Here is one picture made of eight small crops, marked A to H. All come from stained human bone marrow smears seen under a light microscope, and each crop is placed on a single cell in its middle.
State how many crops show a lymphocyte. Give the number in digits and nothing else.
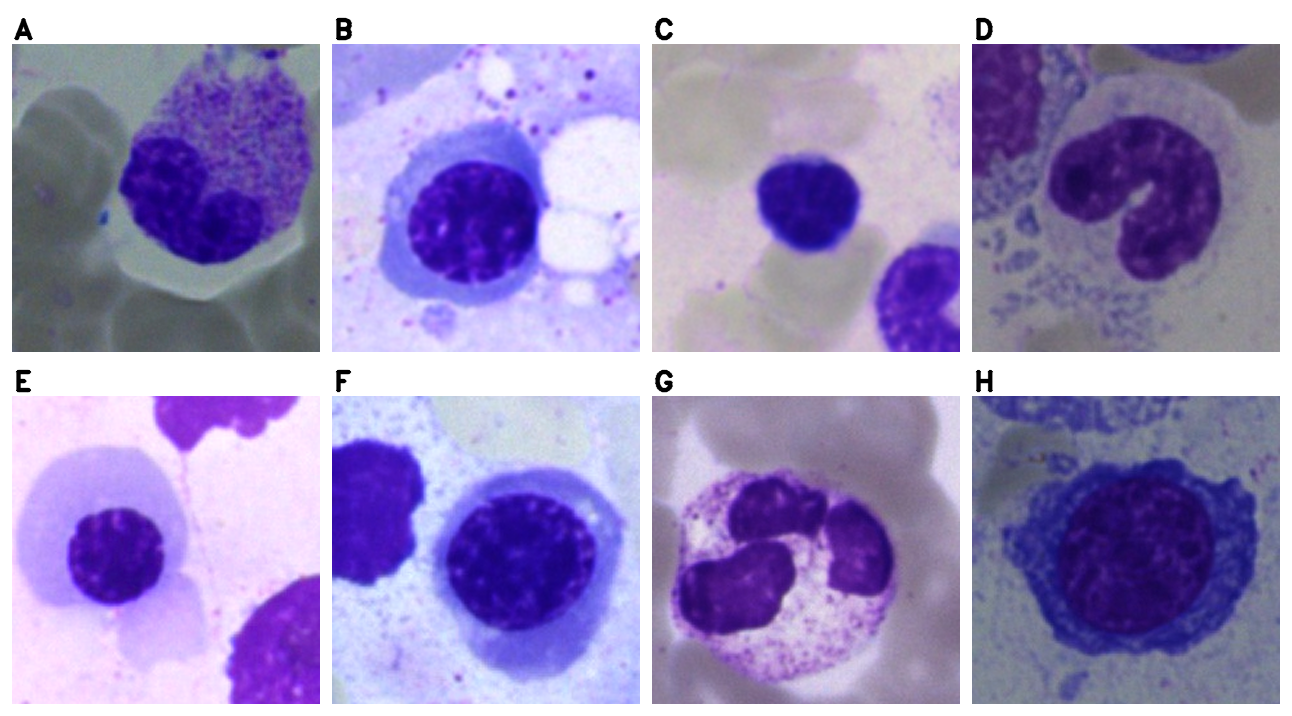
1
